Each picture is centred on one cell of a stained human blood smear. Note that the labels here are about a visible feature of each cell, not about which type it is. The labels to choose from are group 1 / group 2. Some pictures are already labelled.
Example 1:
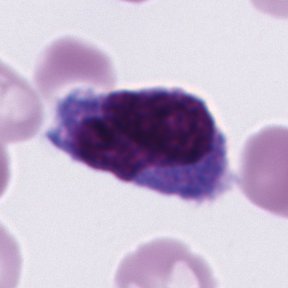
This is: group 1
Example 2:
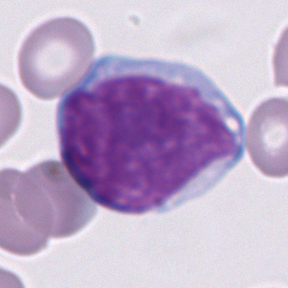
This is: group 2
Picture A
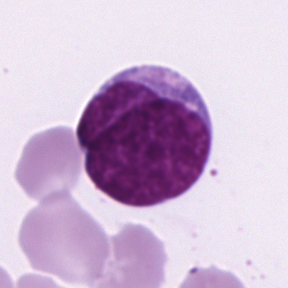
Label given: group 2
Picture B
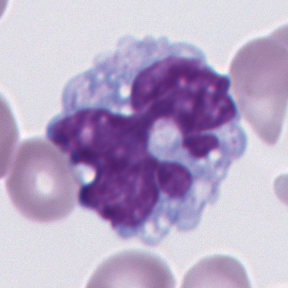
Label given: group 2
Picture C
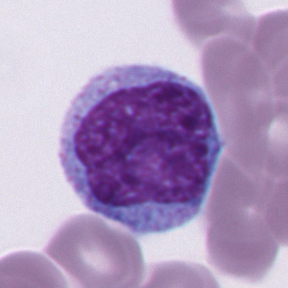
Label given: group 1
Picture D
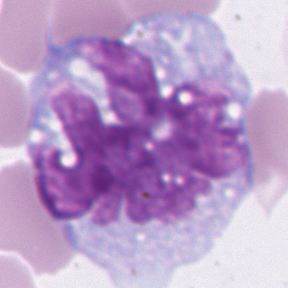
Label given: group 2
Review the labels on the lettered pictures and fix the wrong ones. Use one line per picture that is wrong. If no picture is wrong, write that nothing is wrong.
A: group 1, not group 2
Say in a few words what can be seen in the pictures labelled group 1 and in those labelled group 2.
In group 1: no vacuoles. In group 2: vacuoles present.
